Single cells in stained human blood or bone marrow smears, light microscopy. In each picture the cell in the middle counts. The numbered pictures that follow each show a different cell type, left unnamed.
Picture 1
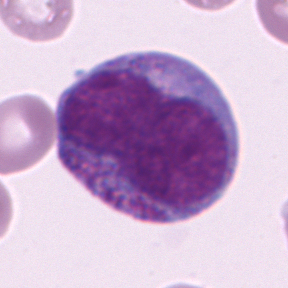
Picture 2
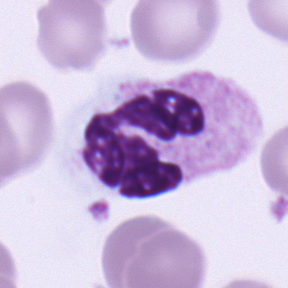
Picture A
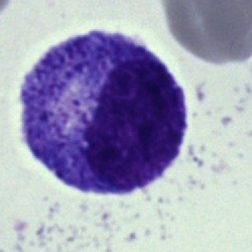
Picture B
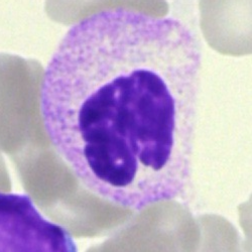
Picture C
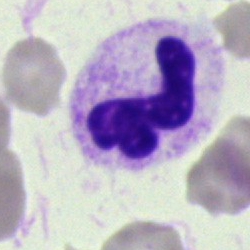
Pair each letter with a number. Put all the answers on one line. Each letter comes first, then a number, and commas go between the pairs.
A 1, B 2, C 2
